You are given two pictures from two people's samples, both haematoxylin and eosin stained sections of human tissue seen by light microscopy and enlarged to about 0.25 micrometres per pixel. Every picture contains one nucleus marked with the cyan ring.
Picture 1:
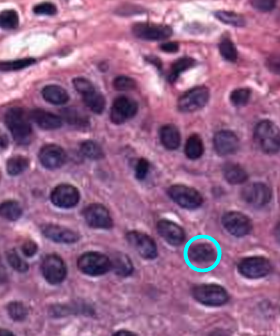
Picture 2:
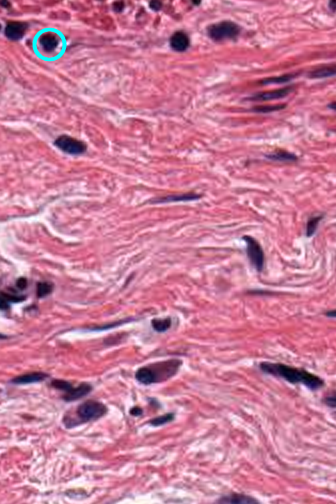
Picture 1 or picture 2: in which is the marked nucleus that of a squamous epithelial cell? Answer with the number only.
1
